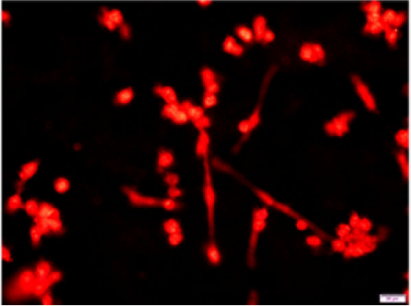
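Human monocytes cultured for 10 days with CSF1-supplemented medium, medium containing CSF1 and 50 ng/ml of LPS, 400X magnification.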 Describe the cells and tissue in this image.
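Many cells are small and rounded, lying singly or gathered in tight grape-like clusters. Others are elongated and spindle-shaped, with long slender processes, some stretching across the field and touching clustered cells at their ends. The cells are scattered with open space between them rather than forming a confluent layer.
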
